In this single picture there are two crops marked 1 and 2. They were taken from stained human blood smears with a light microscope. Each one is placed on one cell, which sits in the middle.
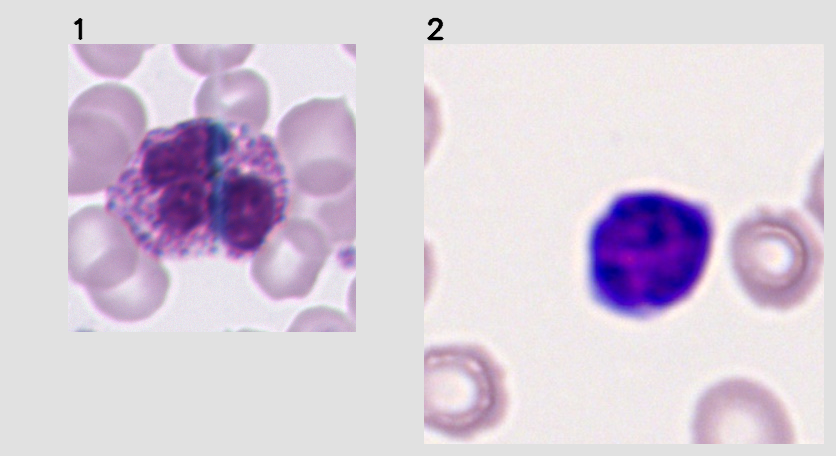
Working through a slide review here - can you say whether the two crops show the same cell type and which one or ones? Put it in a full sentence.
No; crop 1 is a basophil, while crop 2 is a lymphocyte.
